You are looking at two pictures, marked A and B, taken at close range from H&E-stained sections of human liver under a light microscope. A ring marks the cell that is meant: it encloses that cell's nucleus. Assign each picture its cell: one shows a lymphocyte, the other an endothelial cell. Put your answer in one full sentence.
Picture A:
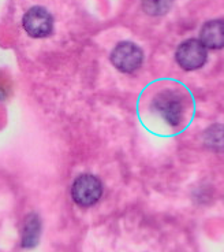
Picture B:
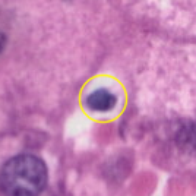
In picture A the cell is an endothelial cell; in picture B, a lymphocyte.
